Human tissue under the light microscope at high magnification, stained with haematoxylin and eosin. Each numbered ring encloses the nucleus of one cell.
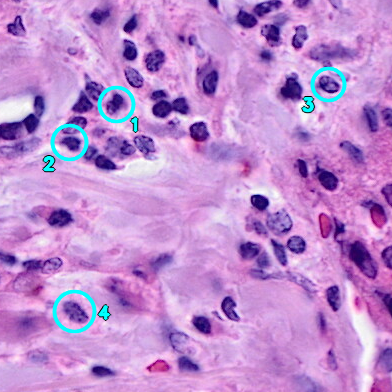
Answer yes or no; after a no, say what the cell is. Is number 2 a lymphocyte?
Yes.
